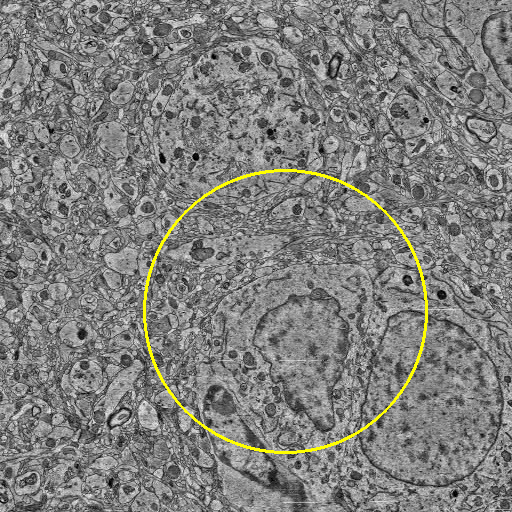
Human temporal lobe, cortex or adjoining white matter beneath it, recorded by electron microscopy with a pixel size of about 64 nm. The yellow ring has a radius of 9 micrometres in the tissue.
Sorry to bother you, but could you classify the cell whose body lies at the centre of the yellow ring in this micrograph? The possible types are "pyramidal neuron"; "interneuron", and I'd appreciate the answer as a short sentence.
The ringed cell body is that of an interneuron.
